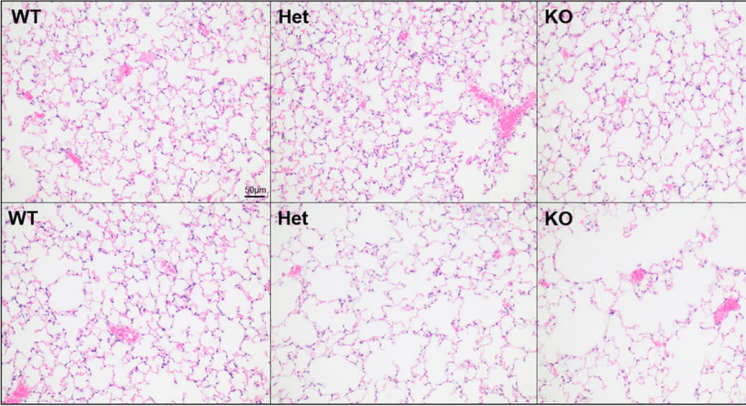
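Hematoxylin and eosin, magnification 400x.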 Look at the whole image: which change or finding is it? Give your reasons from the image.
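In the lower row, especially the right image, the air spaces are larger and more irregular than in the upper row. Some septa in the lower right image appear broken, leaving wide, merged spaces.
Conclusion: Emphysema-like changes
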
